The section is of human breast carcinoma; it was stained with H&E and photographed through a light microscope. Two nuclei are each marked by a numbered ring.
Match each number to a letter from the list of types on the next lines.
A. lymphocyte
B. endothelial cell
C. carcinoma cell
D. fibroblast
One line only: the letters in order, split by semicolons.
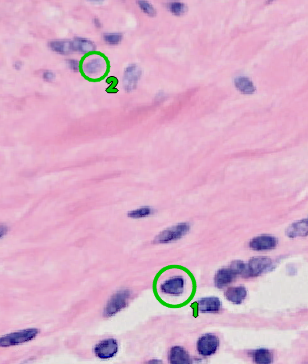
A; B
